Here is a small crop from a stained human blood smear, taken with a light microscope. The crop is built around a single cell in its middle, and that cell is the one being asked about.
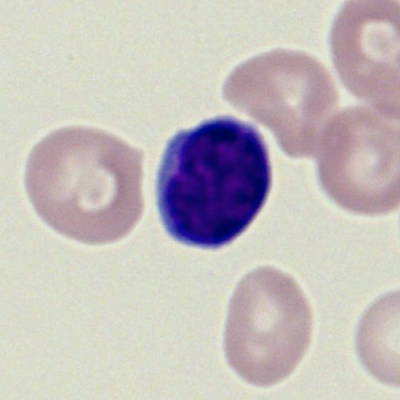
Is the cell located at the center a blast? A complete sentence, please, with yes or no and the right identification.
No, this one is a lymphocyte; it is not a blast.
